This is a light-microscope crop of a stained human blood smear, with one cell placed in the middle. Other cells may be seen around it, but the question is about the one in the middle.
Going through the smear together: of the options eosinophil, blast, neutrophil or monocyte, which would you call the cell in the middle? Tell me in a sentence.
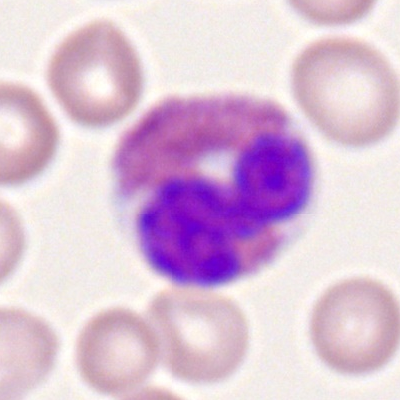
Where the crop is centred, there is an eosinophil.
